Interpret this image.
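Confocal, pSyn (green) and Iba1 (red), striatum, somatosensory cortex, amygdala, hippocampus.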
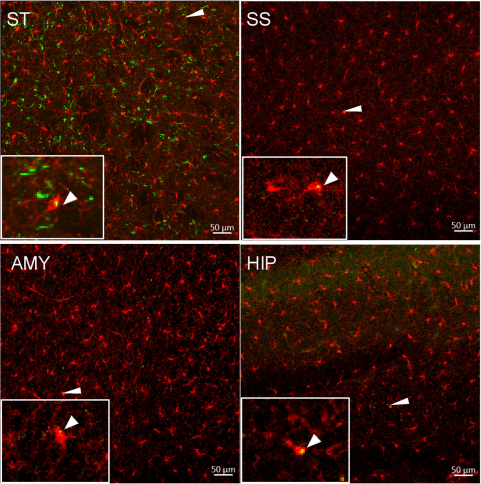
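Four fields of brain tissue show red cells spaced fairly evenly, each with a small compact body and thin branching processes. Green threads and dots are abundant in one field and sparse in the others. The enlarged insets show single red cells with a small spot of green on or beside the cell body. These are microglia, some lying together with the green aggregates.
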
